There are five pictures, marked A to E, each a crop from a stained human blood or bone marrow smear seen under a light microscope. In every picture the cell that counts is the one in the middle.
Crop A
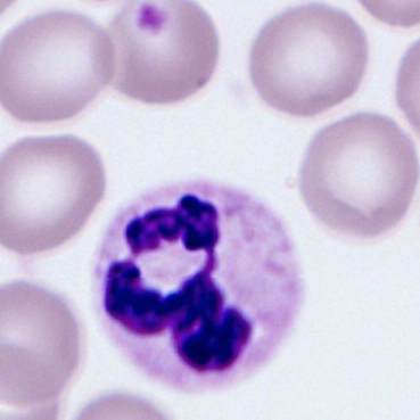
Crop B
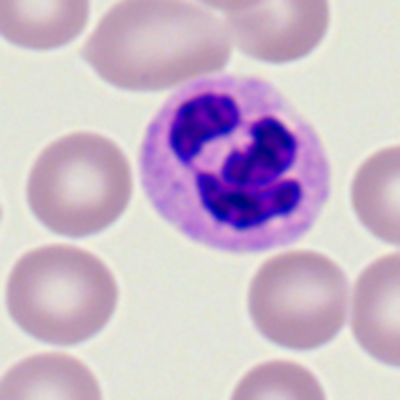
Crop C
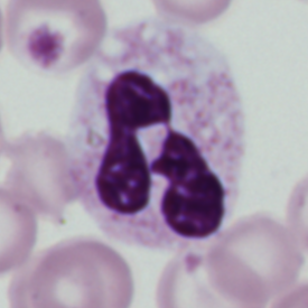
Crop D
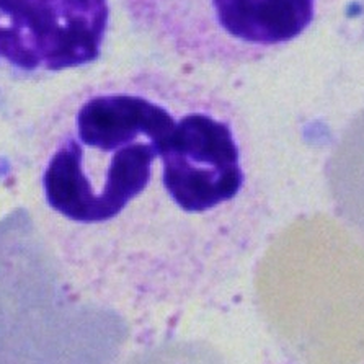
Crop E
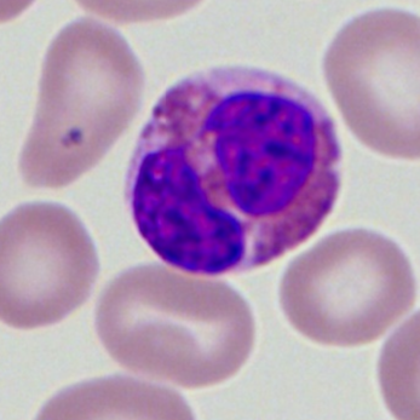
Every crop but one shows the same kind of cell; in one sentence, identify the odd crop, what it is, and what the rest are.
The single exception among the crops is crop E, which is an eosinophil; the rest show segmented neutrophils.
